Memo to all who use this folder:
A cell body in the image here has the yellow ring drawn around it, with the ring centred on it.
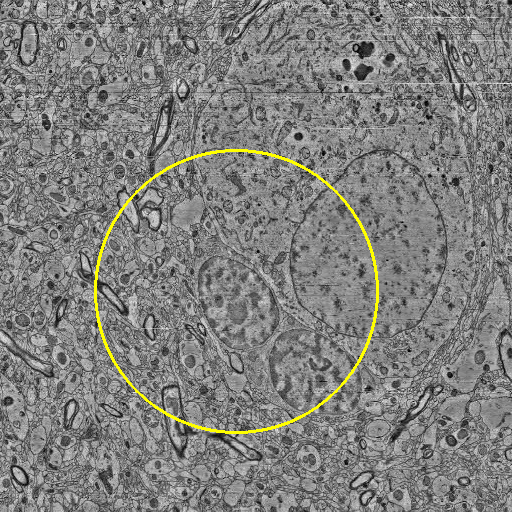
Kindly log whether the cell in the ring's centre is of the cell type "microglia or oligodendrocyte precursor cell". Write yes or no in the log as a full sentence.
No, logged: the ring in this image is centred on a cell of a different type.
